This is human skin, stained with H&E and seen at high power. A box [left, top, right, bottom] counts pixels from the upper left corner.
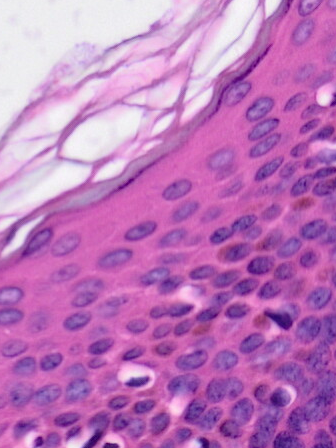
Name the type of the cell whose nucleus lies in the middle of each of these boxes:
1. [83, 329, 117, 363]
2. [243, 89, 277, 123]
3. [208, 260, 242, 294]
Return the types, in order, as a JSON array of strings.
["basal keratinocyte", "suprabasal keratinocyte", "basal keratinocyte"]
